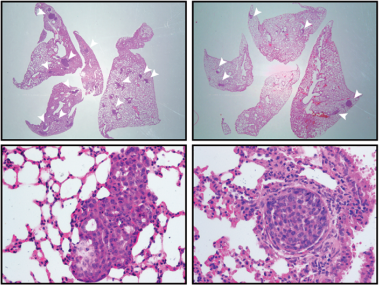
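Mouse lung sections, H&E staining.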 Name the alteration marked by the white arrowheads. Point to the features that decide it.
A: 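The arrowheads in the upper low-power sections point to small, dense, darker purple nodules within the paler lung tissue. These nodules stand out from the surrounding lacy tissue.
Metastatic foci.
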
